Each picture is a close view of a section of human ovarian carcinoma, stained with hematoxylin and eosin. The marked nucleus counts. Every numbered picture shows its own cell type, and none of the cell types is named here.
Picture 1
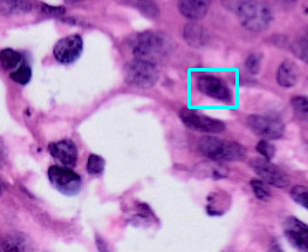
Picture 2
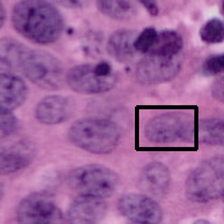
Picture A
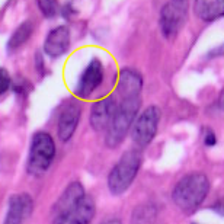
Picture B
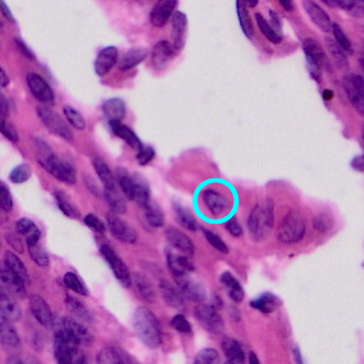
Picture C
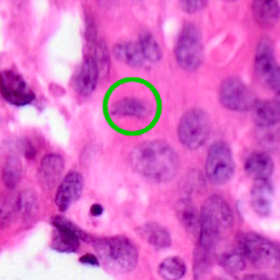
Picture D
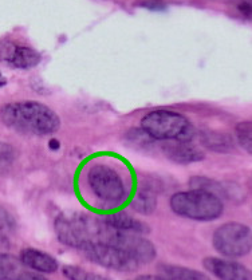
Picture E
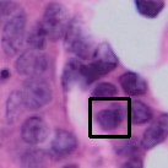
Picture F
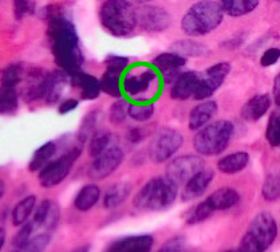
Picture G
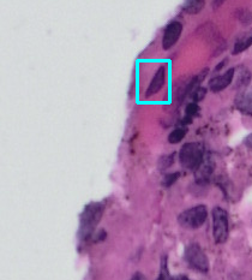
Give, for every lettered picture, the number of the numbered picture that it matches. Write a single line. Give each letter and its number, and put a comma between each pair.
A 1, B 2, C 2, D 1, E 1, F 1, G 2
